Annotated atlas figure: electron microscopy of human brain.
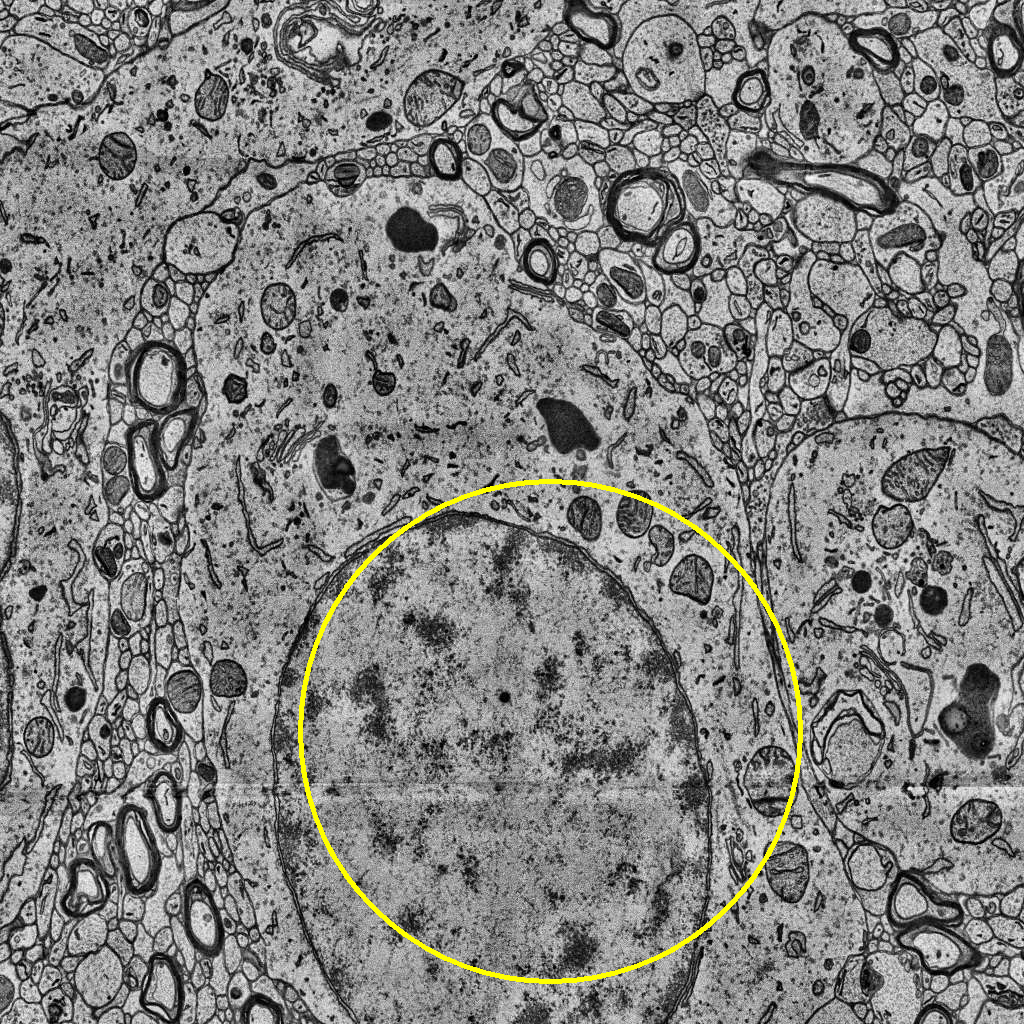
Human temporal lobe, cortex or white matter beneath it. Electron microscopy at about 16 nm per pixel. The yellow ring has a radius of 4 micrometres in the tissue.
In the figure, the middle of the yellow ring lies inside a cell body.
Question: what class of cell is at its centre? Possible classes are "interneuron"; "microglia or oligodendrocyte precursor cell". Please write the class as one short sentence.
The yellow ring's centre lies in an interneuron.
